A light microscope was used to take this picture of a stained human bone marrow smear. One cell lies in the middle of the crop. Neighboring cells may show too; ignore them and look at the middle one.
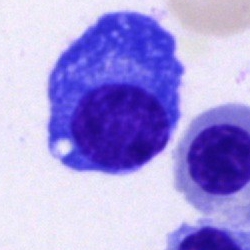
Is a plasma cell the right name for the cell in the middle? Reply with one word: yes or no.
yes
